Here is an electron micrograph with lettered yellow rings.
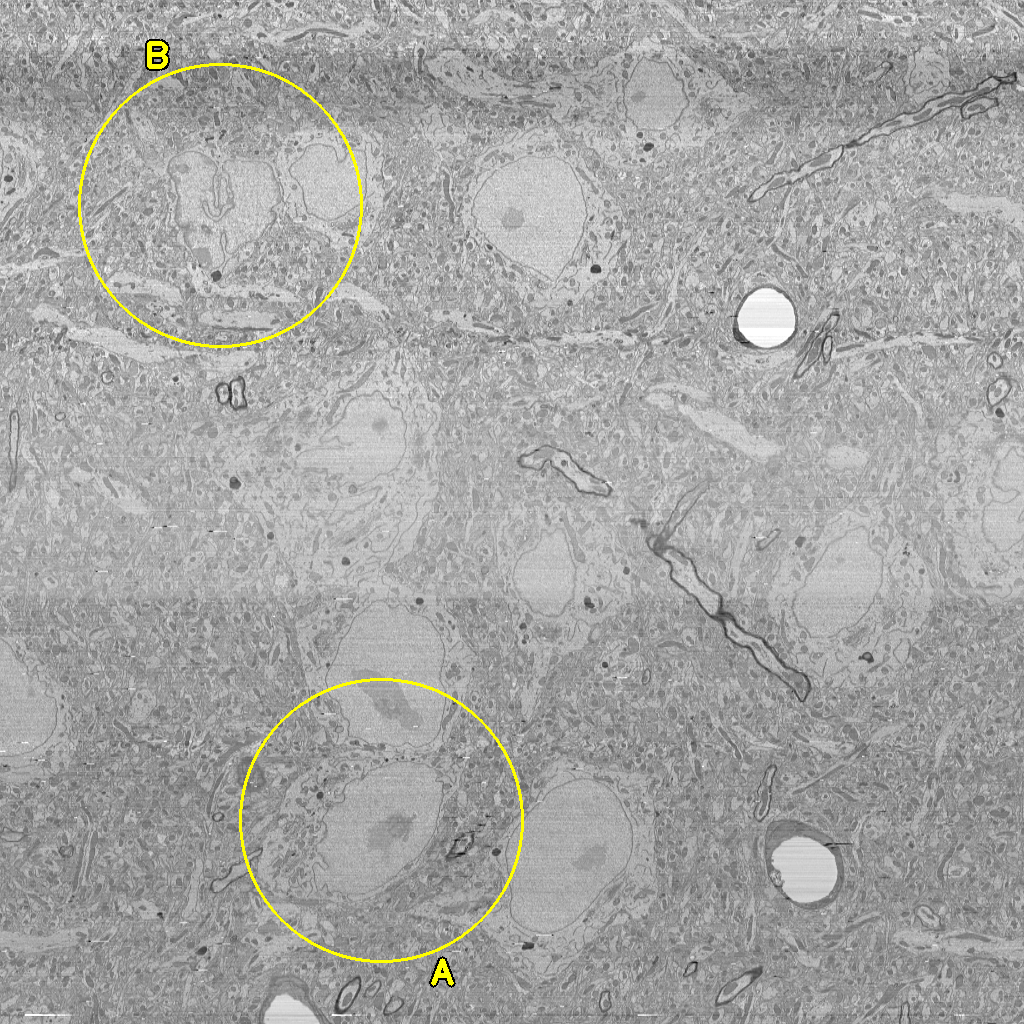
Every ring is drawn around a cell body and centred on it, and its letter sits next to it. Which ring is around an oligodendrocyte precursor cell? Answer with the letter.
B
